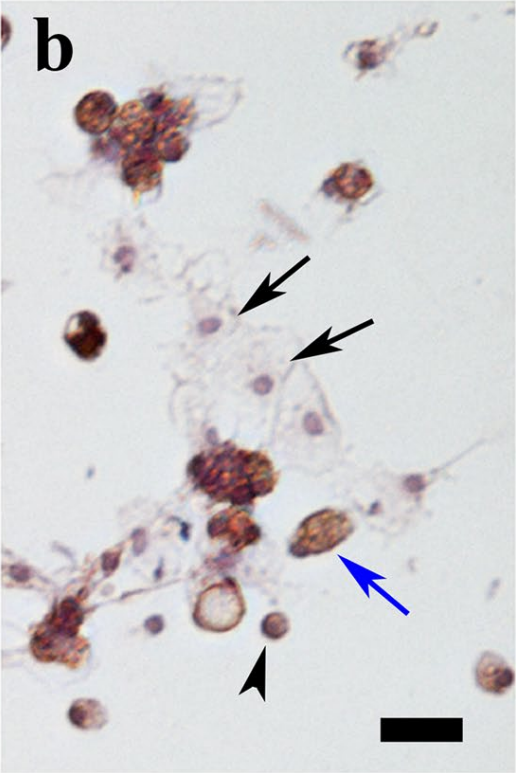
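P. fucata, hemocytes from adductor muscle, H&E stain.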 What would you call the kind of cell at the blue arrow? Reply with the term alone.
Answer: granulocytes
